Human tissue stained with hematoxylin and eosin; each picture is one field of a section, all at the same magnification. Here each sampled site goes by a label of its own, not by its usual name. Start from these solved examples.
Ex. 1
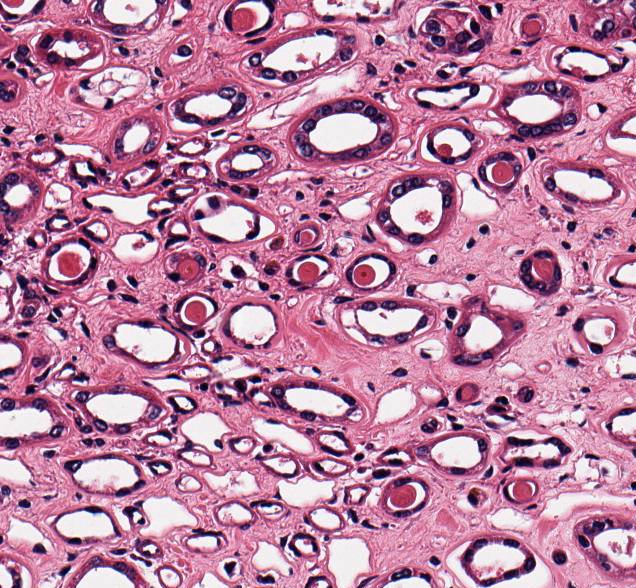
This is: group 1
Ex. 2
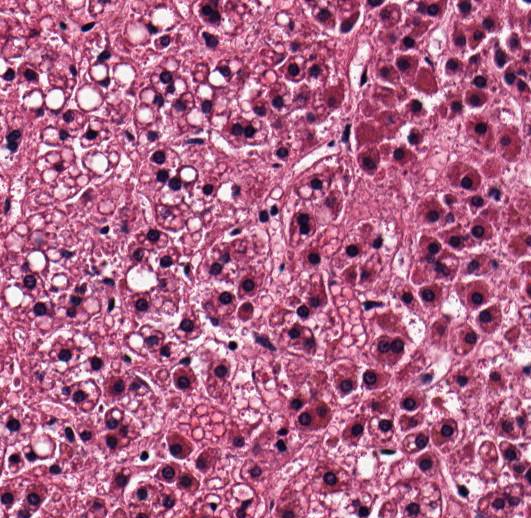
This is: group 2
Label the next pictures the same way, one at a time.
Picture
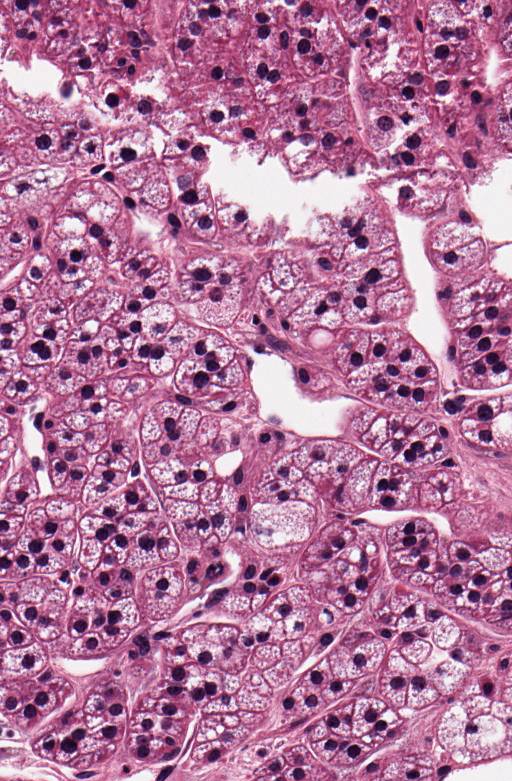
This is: group 2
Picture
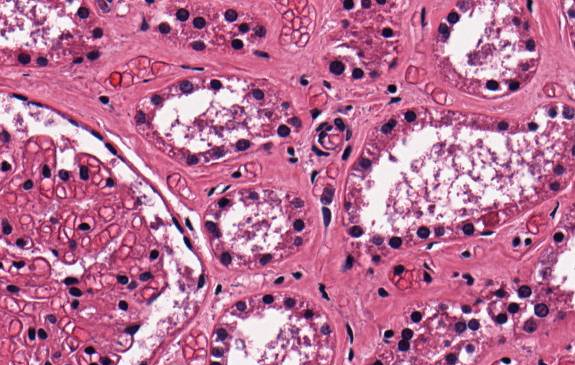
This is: group 1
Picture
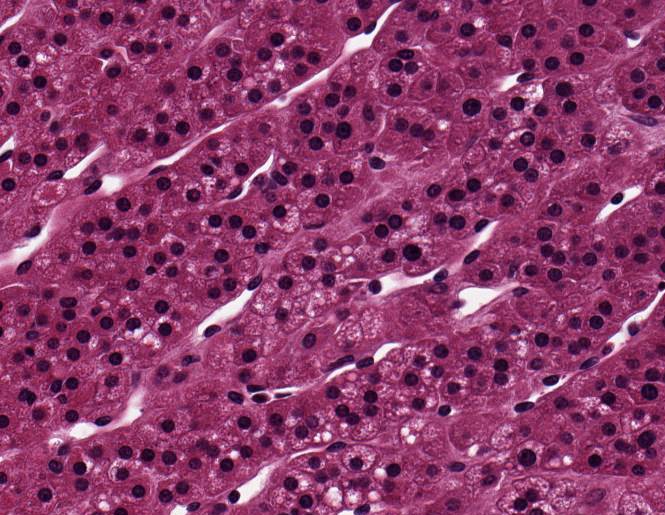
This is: group 2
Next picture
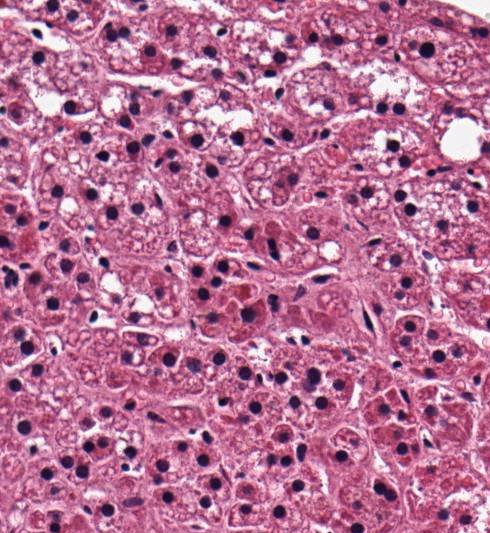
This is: group 2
